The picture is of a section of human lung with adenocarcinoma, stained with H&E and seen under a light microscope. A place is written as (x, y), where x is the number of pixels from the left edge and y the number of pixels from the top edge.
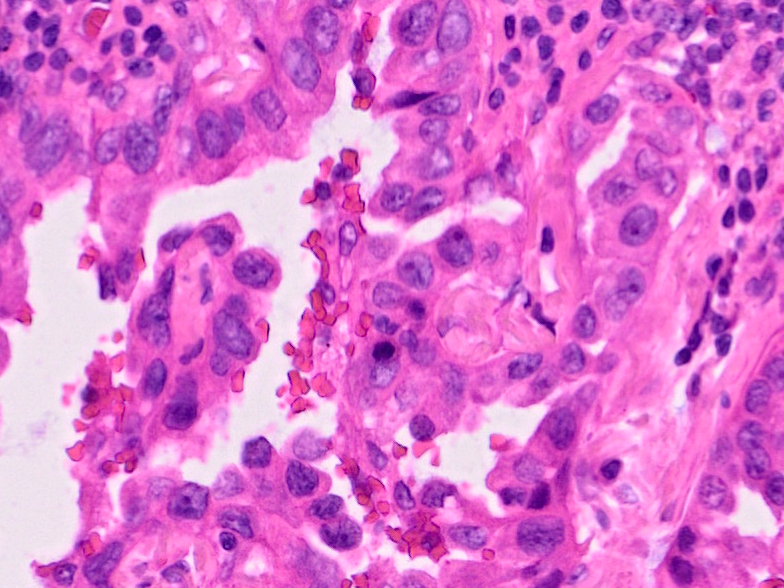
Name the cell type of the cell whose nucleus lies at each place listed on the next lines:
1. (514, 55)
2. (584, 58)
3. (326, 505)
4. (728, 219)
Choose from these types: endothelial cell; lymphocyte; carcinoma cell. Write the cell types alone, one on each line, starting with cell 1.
lymphocyte
lymphocyte
carcinoma cell
lymphocyte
